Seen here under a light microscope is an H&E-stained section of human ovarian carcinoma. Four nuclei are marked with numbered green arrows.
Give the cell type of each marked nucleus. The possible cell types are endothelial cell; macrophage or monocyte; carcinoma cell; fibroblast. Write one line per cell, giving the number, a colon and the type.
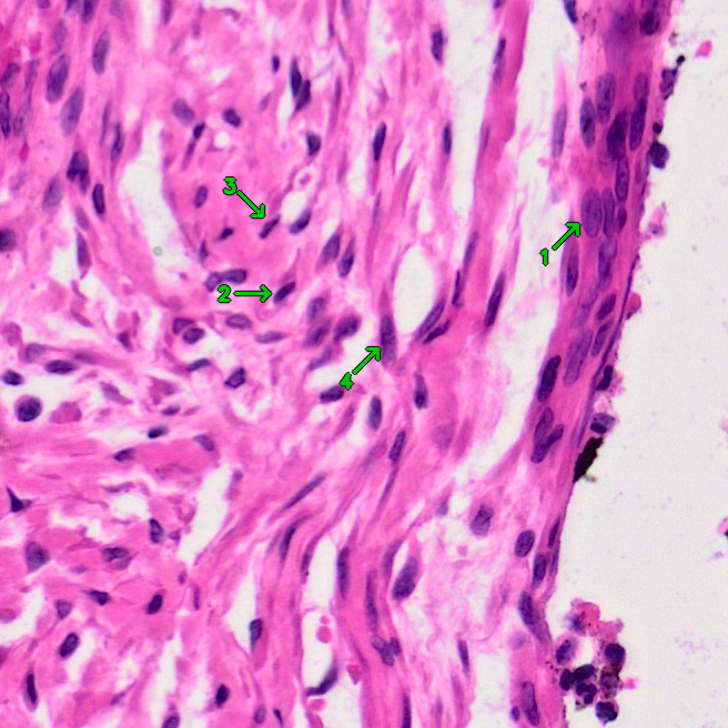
1: endothelial cell
2: fibroblast
3: fibroblast
4: fibroblast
